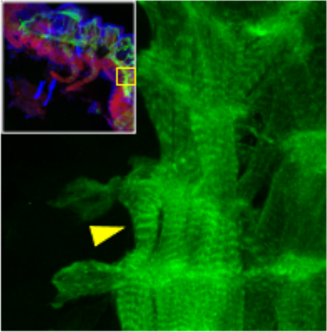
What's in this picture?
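Broad bundles of muscle run across the field, each made of many fine fibres lying side by side. Along these fibres you can see a regular pattern of transverse bands, repeated at even spacing, which gives the bundles a ladder-like look: these are the striations of the myofibrils. Thinner, fainter fibres spread out at the edges of the bundles into the dark background.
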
